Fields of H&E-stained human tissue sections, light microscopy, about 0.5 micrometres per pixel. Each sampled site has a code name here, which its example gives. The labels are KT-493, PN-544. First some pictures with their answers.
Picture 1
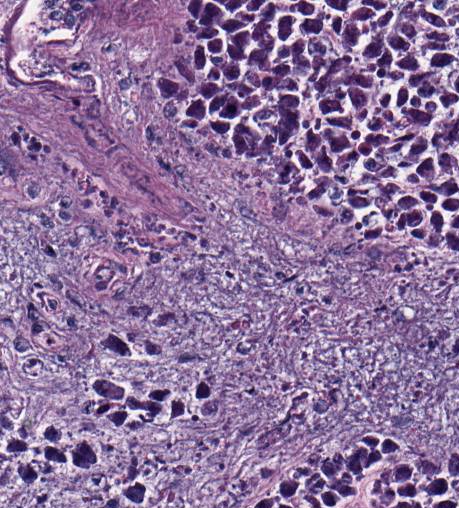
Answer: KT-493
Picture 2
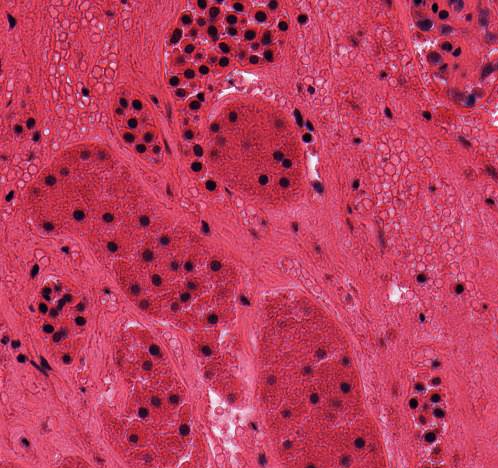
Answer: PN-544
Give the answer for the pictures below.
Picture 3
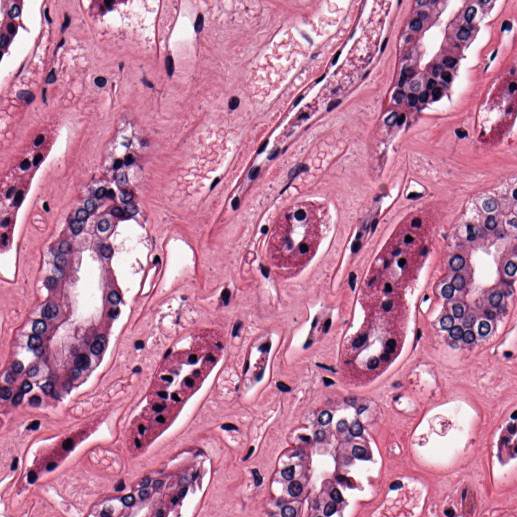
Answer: PN-544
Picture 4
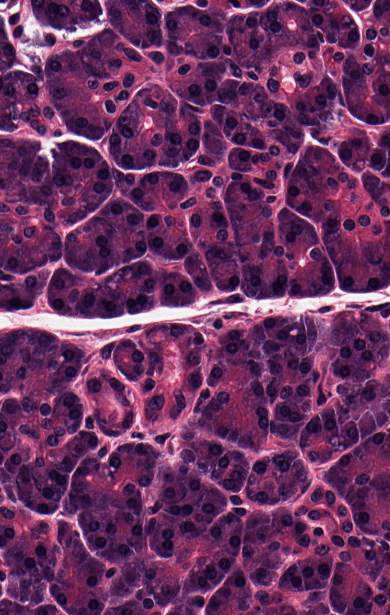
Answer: KT-493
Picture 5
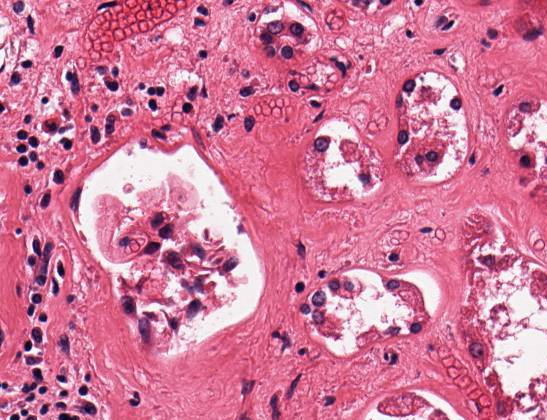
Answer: PN-544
